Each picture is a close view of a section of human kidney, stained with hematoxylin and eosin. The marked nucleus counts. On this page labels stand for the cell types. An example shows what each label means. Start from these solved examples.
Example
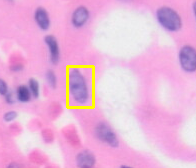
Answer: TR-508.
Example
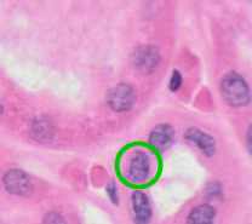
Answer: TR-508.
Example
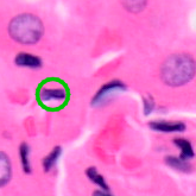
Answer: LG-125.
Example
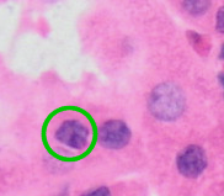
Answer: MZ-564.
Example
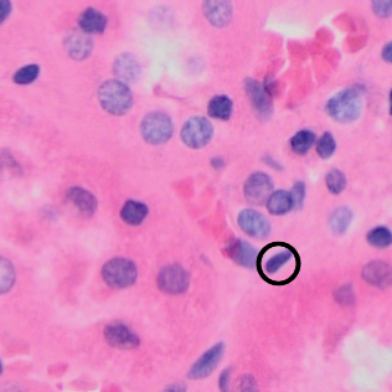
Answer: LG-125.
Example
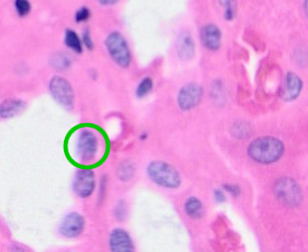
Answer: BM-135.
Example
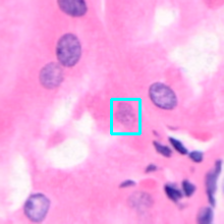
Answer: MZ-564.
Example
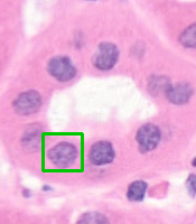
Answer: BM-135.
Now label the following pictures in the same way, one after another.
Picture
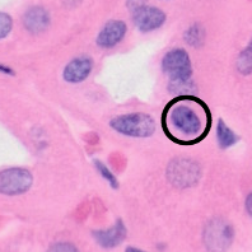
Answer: TR-508.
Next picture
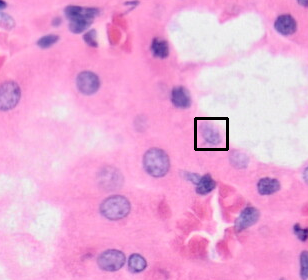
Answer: BM-135.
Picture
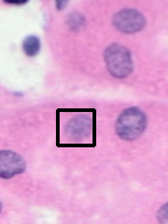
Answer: MZ-564.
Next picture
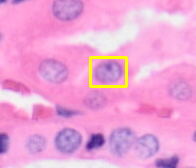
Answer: MZ-564.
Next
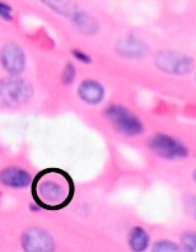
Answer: TR-508.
